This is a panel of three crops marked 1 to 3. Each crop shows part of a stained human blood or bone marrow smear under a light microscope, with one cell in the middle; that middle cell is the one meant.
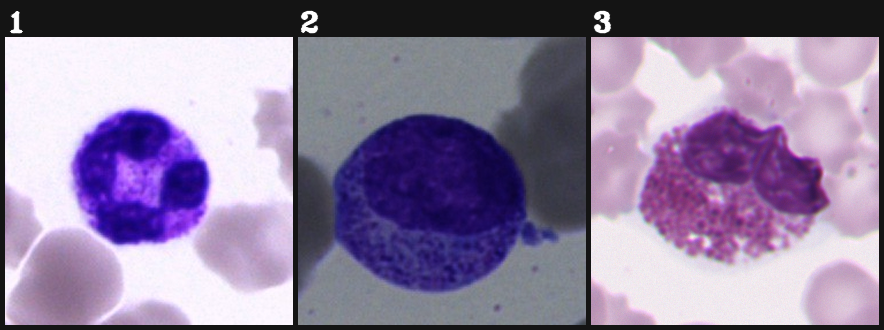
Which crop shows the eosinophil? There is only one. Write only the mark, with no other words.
3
